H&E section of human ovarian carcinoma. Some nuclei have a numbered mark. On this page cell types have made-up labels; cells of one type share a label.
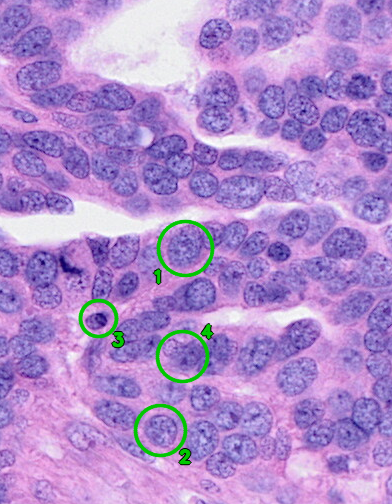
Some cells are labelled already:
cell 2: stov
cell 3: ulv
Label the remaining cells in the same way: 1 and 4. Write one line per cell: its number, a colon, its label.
1: stov
4: stov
